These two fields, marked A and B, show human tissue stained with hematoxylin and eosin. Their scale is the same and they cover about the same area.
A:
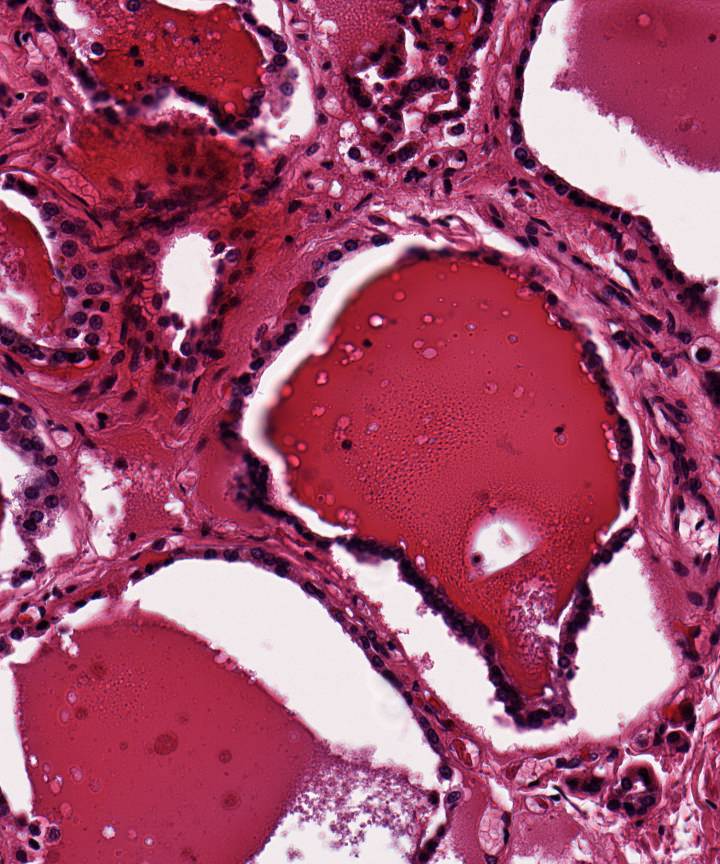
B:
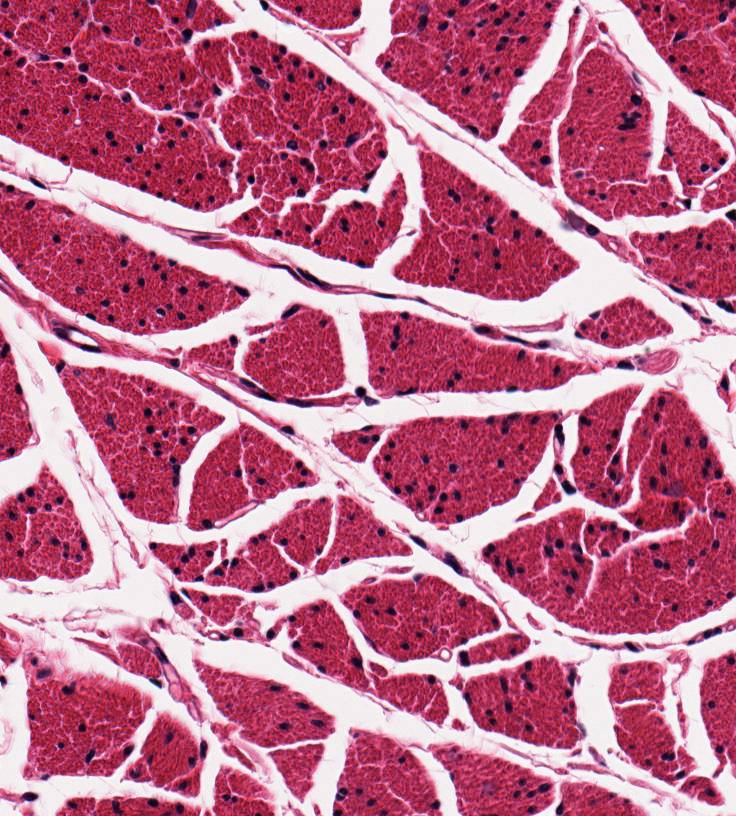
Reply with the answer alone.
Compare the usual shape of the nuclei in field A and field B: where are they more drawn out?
A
